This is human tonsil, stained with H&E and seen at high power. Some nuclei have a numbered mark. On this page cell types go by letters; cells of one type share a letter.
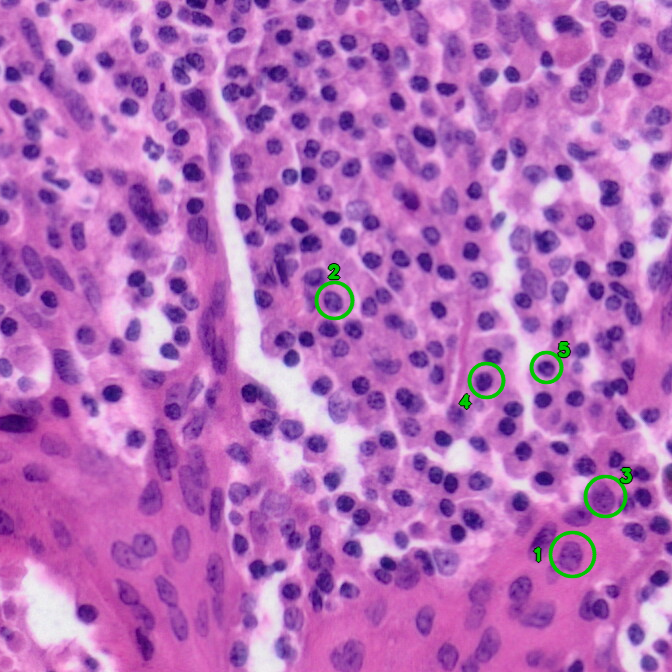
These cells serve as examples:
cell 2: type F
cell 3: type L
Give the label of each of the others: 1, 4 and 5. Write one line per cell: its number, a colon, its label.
1: type L
4: type F
5: type F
